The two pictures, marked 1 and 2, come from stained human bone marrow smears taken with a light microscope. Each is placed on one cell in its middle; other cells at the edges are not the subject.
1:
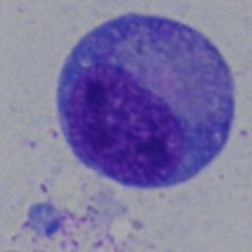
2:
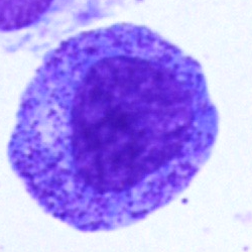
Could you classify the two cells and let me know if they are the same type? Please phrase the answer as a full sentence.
Yes, with regard to both crops, the central cells are promyelocytes.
